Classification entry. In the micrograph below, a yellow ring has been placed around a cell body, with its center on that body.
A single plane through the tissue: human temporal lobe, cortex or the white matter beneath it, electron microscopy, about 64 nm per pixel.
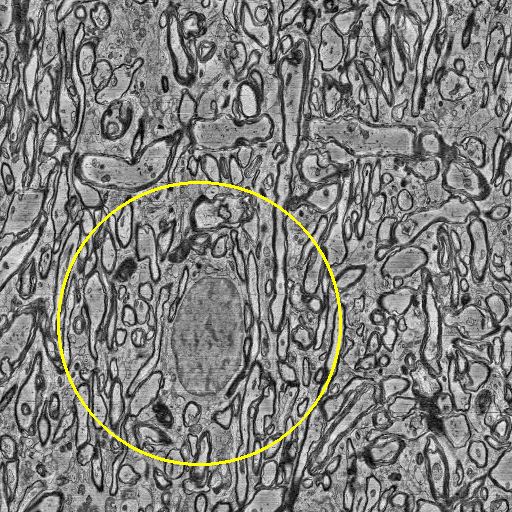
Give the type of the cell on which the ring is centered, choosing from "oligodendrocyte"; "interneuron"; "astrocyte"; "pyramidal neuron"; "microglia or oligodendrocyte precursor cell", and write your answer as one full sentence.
The cell body at the center of the yellow ring belongs to an oligodendrocyte.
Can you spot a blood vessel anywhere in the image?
No, there is no blood vessel.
